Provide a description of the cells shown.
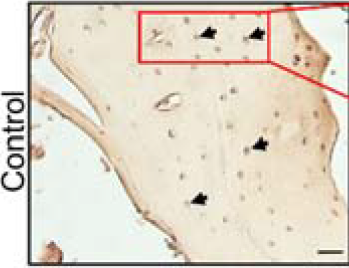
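This is a section of bone with a pale beige matrix in which small osteocytes lie scattered in their lacunae. Many of the osteocytes are outlined or filled by brown stain, standing out against the lightly stained matrix. The lacunae are small and oval to round, spread fairly evenly through the bone, and a boxed region marks a group of stained osteocytes.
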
